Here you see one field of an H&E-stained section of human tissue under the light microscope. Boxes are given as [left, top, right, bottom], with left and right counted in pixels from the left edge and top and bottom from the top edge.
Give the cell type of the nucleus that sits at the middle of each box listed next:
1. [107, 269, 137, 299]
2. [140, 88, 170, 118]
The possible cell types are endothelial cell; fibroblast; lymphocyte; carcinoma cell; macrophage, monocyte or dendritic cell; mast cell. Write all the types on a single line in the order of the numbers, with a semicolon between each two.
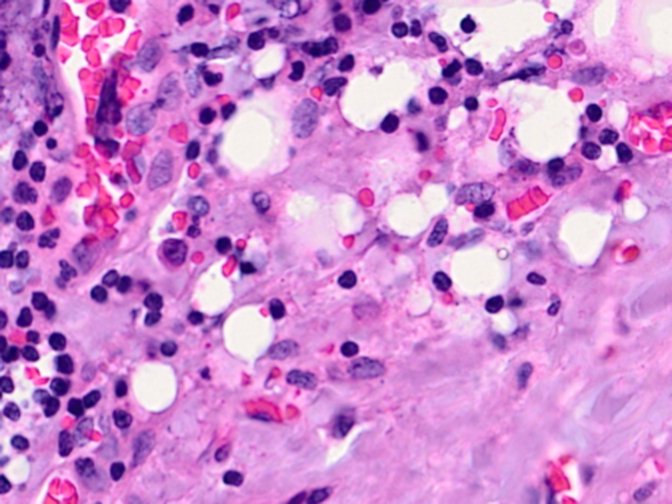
lymphocyte; endothelial cell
